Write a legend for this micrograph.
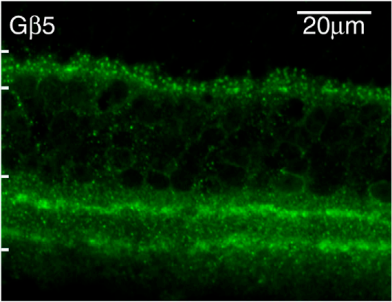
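This is a retinal section with green punctate staining in two plexiform layers separated by a layer of cell bodies. Beneath is a layer of dark round cell profiles with faint green outlines. The lower part is a broad speckled green layer, the inner plexiform layer, containing bright horizontal bands of synaptic processes.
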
